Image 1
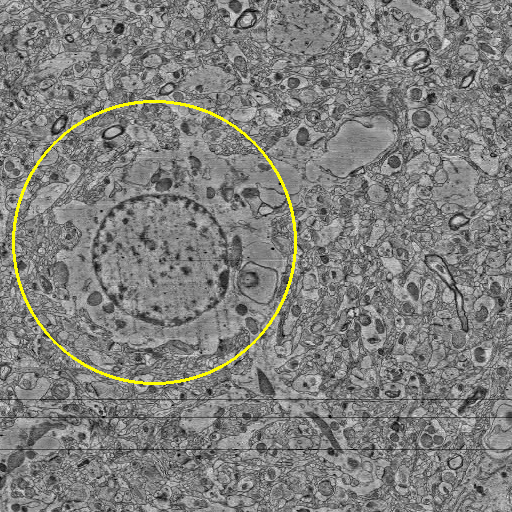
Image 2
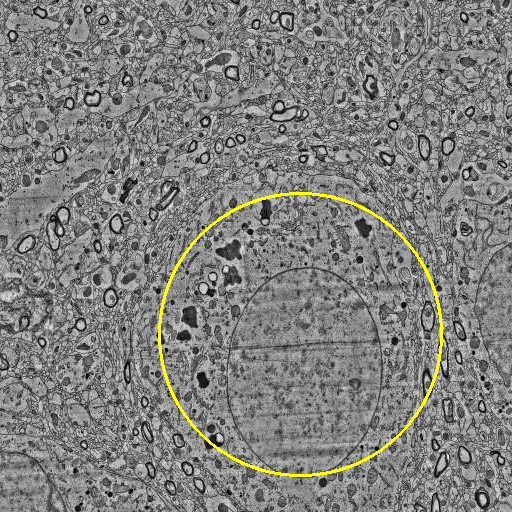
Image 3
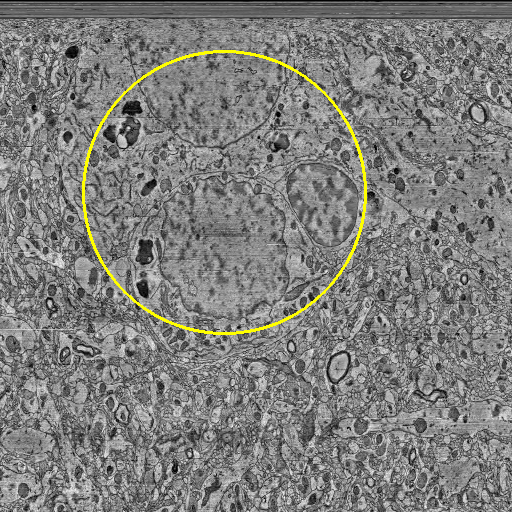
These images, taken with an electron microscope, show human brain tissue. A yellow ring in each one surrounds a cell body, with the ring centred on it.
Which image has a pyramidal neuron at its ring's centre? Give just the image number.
2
